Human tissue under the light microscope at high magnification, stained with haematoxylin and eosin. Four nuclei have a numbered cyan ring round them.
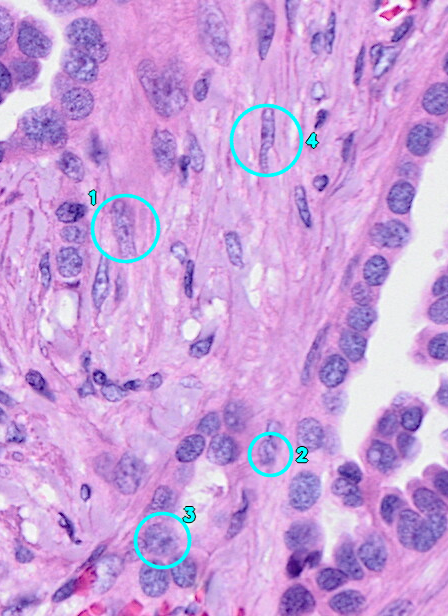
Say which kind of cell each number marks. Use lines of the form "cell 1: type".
cell 1: fibroblast
cell 2: fibroblast
cell 3: carcinoma cell
cell 4: fibroblast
